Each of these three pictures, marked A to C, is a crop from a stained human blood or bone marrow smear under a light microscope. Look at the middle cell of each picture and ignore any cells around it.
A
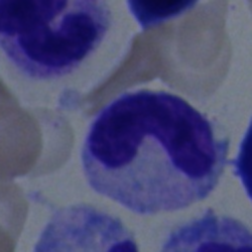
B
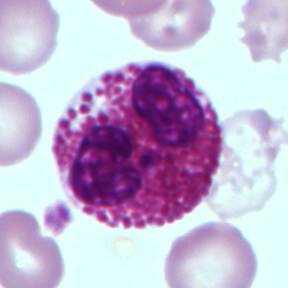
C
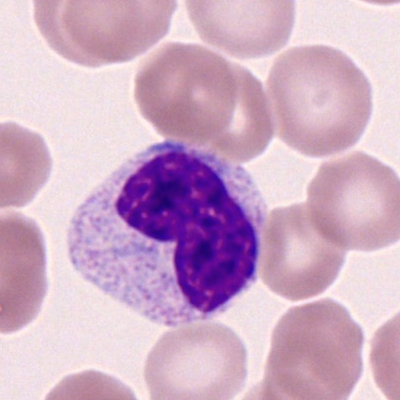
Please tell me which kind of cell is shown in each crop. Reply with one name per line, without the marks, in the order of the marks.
band neutrophil
eosinophil
band neutrophil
